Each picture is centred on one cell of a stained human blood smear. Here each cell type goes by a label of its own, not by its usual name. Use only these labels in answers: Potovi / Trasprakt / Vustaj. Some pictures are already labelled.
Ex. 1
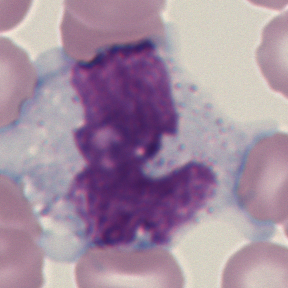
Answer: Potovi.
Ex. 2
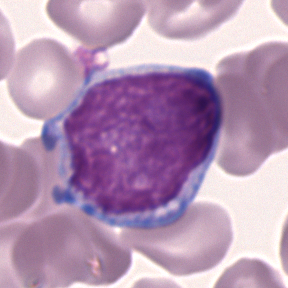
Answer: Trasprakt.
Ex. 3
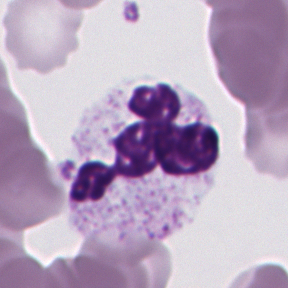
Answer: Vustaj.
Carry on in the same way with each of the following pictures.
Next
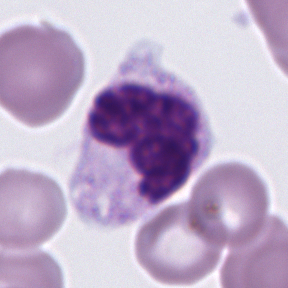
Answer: Vustaj.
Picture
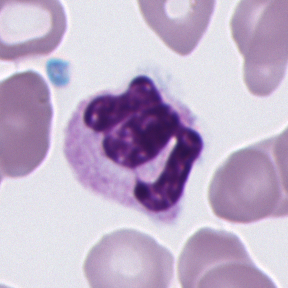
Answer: Vustaj.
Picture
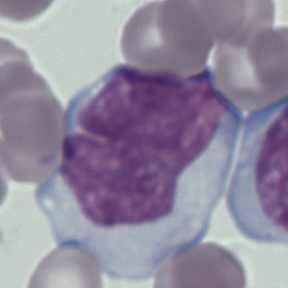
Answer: Trasprakt.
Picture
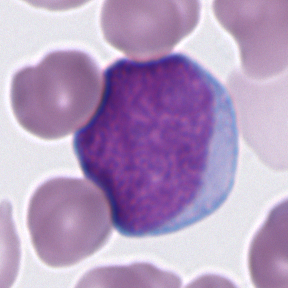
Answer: Trasprakt.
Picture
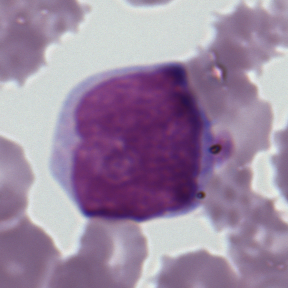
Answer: Trasprakt.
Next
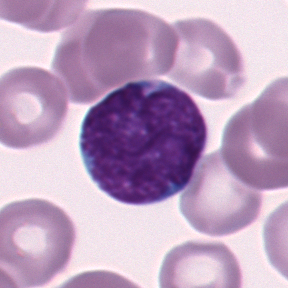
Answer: Trasprakt.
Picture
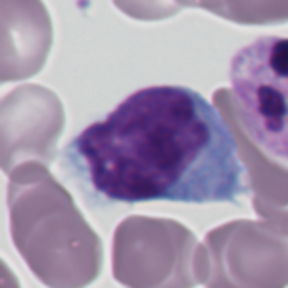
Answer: Potovi.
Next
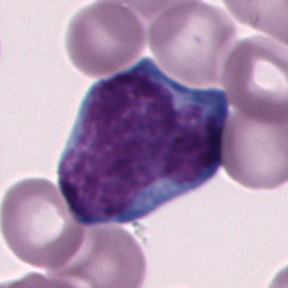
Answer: Trasprakt.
